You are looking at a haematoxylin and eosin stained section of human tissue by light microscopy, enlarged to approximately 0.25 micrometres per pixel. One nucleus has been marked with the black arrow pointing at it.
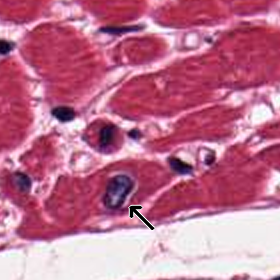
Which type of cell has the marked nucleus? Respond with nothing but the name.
cardiomyocyte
